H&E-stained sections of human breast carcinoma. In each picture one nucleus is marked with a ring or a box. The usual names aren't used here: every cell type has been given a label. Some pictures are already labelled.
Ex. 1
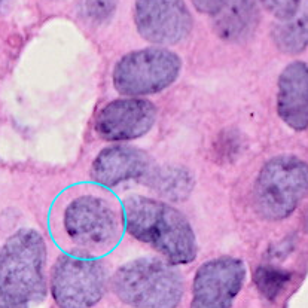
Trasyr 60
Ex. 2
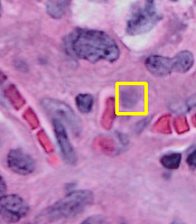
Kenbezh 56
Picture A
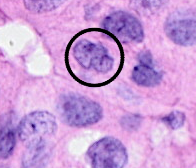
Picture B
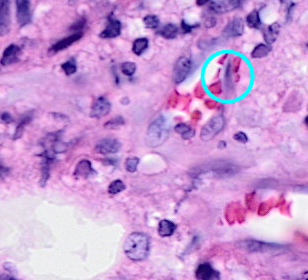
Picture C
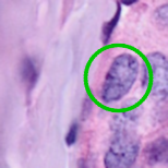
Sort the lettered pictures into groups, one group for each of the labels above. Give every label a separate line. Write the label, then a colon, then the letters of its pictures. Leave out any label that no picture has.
Trasyr 60: A, C
Kenbezh 56: B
